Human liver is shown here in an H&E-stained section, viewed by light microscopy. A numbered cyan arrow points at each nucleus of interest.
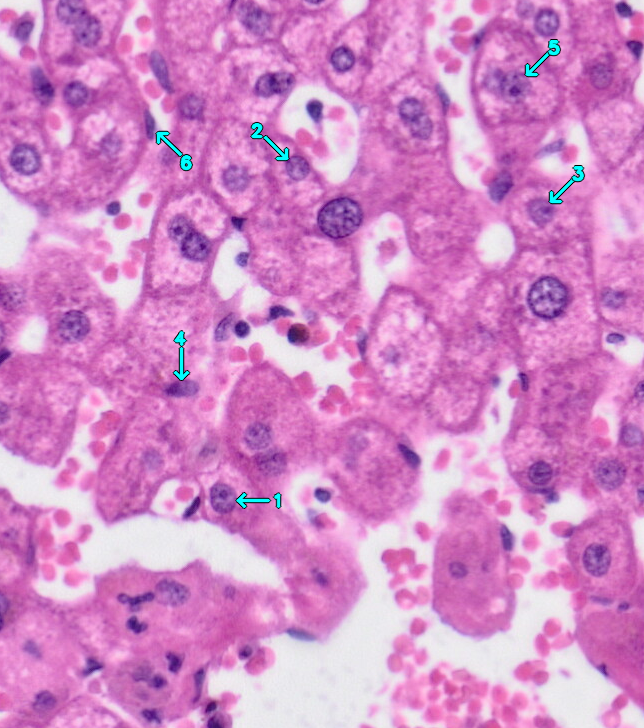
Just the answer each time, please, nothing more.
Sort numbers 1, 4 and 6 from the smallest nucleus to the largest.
6, 4, 1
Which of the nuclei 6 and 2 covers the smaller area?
6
